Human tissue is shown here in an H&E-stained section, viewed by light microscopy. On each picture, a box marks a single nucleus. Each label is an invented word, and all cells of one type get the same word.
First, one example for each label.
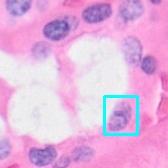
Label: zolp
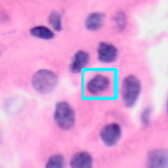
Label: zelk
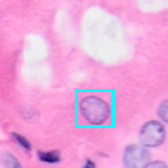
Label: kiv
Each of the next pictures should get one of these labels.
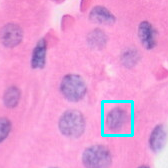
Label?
zelk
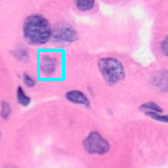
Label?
zelk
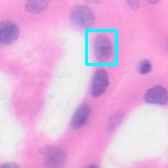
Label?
zelk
